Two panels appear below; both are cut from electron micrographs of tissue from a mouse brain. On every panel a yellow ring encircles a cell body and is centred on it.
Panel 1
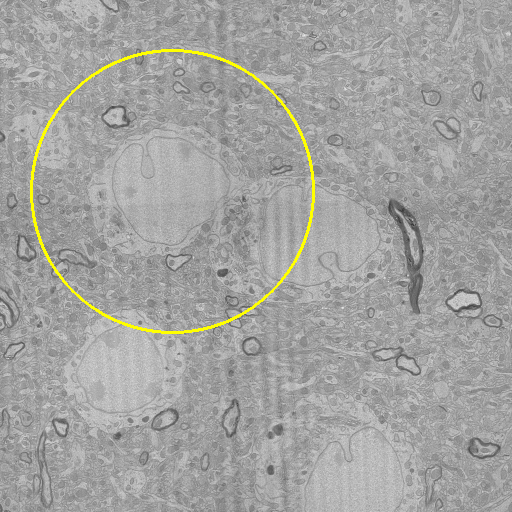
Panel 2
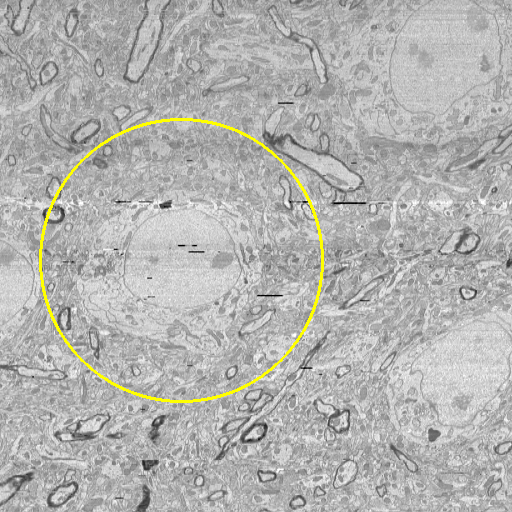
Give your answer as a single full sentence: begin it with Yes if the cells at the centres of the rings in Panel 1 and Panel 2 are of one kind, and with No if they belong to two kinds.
Yes, the cells in the middle of the rings in Panels 1 and 2 are of one kind.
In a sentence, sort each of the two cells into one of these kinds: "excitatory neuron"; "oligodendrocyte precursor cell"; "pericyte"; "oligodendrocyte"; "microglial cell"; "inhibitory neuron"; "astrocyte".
The second cell is an excitatory neuron, just as the first is.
